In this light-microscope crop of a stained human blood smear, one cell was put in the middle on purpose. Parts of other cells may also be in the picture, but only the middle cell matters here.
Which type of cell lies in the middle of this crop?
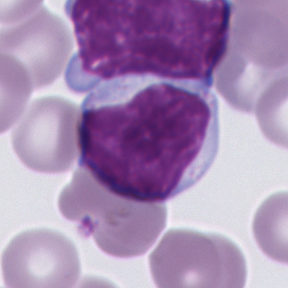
large granular lymphocyte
